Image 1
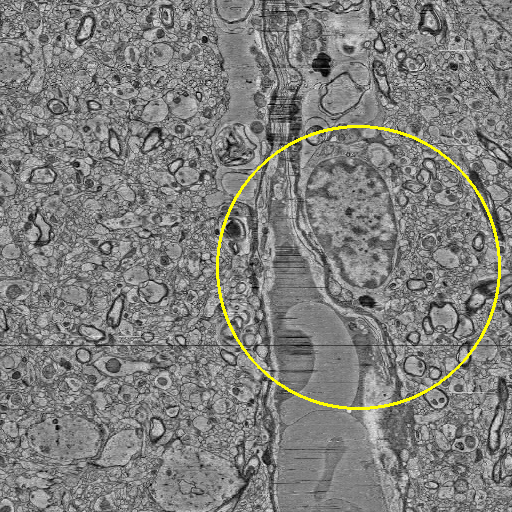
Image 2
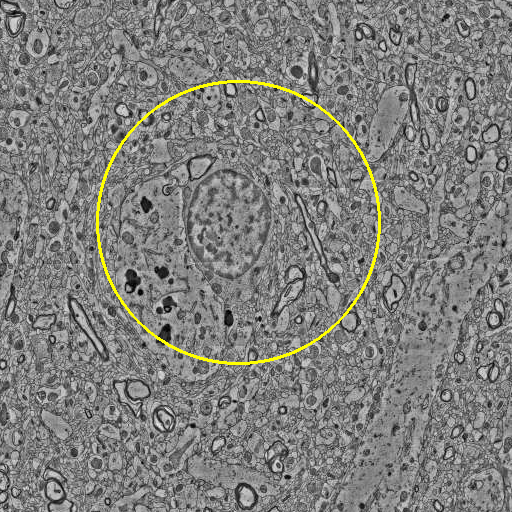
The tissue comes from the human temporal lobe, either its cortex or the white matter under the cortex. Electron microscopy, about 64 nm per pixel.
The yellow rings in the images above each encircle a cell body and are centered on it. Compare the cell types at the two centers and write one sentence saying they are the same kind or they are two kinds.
Taken together, the two cells at the ring centers are the same kind.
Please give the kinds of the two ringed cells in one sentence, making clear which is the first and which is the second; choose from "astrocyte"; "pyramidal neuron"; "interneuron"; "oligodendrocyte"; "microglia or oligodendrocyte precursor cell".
Each one of the two ringed cells is an oligodendrocyte.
